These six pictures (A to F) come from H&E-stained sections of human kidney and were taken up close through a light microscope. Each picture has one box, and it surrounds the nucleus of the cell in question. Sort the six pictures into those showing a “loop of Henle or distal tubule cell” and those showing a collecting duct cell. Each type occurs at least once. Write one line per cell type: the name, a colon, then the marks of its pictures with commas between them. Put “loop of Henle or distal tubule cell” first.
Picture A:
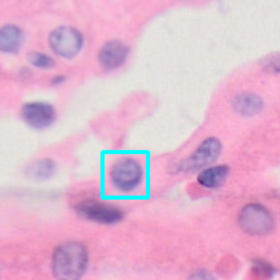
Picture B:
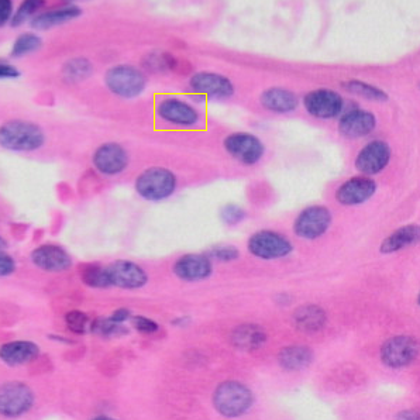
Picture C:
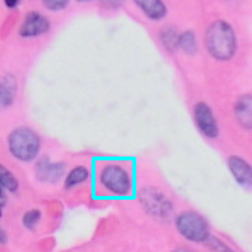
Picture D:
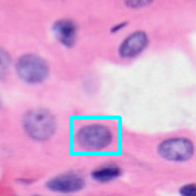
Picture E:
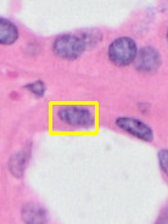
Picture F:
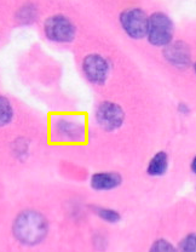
loop of Henle or distal tubule cell: B, D, E, F
collecting duct cell: A, C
